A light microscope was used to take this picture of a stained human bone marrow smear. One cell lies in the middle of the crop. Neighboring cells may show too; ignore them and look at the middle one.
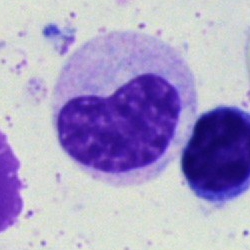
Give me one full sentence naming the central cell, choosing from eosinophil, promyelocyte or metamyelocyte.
The cell found in the middle of this crop is a metamyelocyte.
